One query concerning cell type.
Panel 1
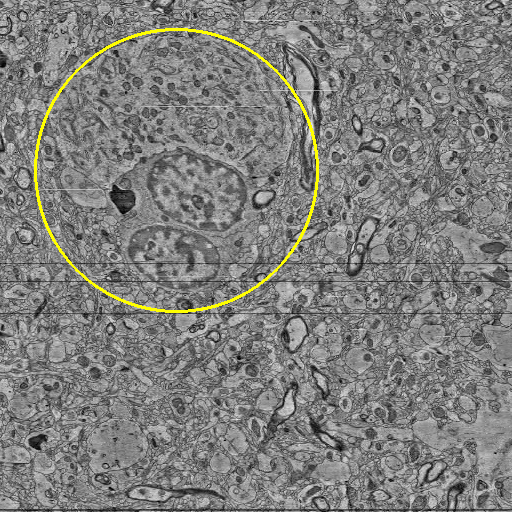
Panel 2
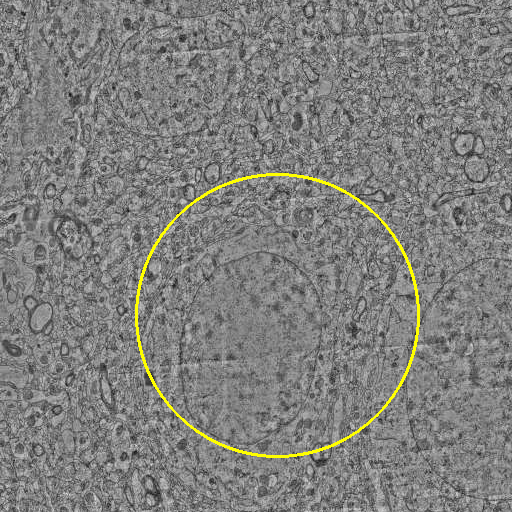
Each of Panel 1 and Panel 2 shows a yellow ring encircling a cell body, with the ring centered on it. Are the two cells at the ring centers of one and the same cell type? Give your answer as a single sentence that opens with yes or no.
No, the cell centered in Panel 1 and the one in Panel 2 are of two types.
